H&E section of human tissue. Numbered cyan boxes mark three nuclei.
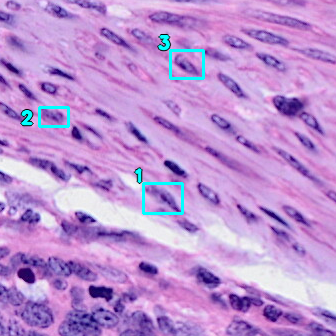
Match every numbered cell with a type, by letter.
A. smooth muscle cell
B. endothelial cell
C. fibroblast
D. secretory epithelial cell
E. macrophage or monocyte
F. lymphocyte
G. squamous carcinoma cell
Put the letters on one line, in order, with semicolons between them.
C; A; A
